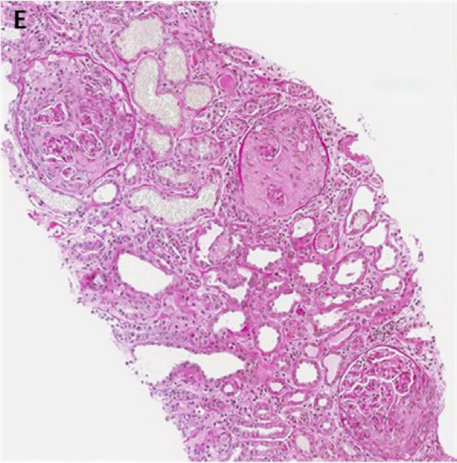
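This is a narrow core of kidney tissue holding several round glomeruli, set among many tubules, all stained in magenta and pink. The glomeruli are crowded with cells and magenta material, and their capsules are filled beyond the capillary tufts. Many of the tubules between them are widened, with open lumens, some of which contain pale pink material. The interstitium between the tubules carries scattered small dark nuclei.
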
